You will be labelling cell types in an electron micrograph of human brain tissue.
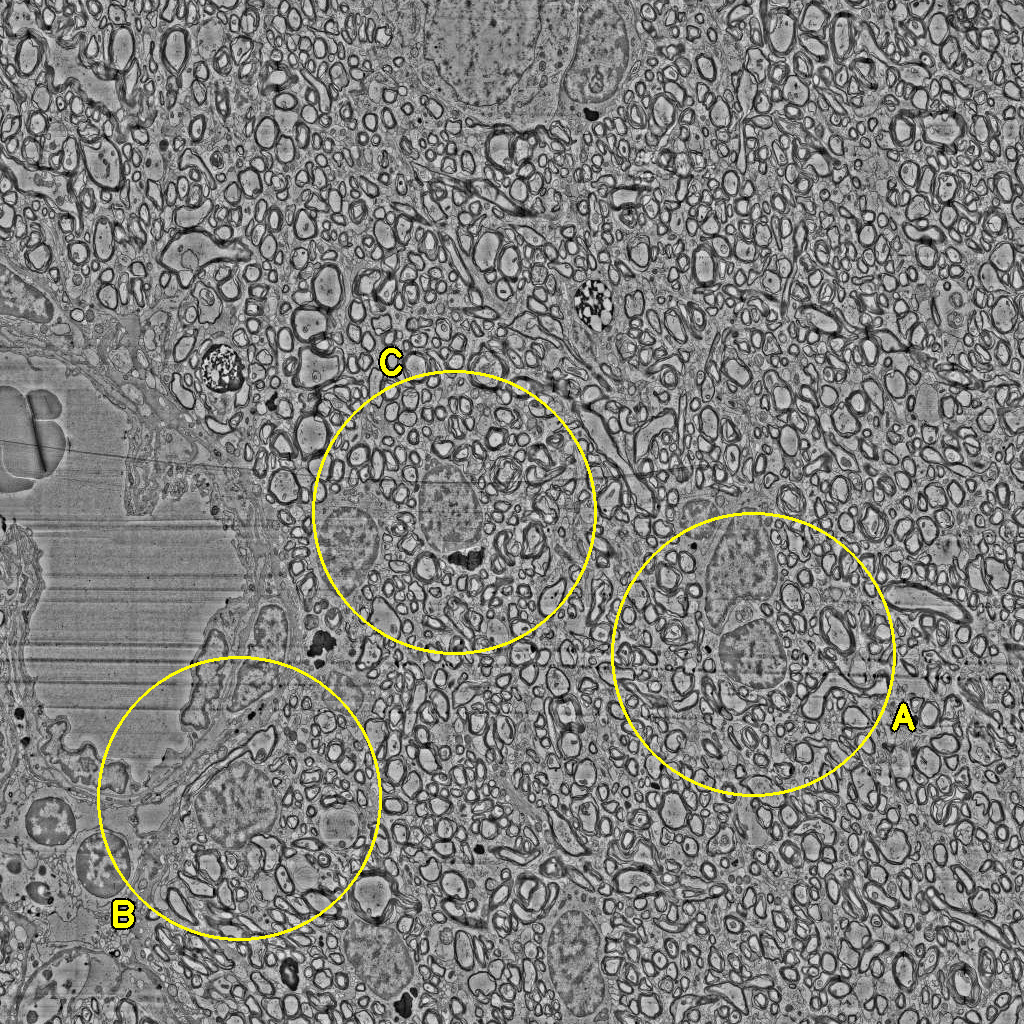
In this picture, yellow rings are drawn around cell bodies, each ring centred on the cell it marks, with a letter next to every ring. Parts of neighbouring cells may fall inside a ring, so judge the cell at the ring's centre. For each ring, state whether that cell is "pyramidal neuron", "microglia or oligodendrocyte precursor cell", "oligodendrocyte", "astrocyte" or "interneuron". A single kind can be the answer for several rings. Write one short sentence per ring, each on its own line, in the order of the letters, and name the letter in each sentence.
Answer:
Ring A contains a microglial cell or oligodendrocyte precursor cell at its centre.
Ring B contains an oligodendrocyte at its centre.
Ring C contains an oligodendrocyte at its centre.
